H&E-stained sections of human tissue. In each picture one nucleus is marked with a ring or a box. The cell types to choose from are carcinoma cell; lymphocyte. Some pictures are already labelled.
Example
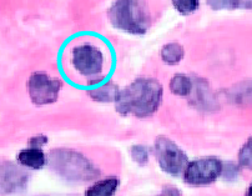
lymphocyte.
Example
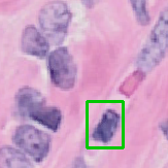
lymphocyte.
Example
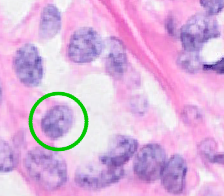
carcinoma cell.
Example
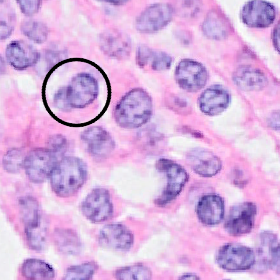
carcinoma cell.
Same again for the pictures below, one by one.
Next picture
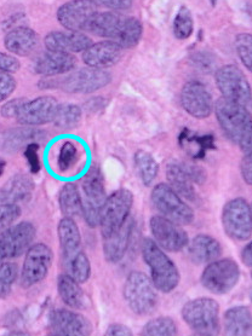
lymphocyte.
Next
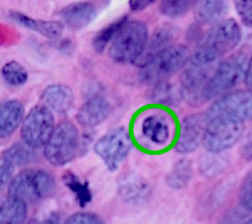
lymphocyte.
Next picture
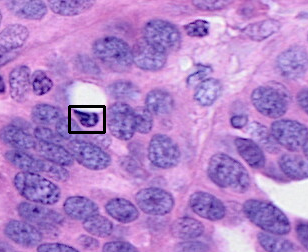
lymphocyte.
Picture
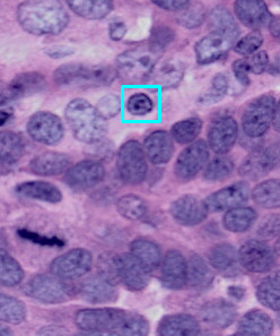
lymphocyte.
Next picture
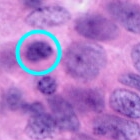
lymphocyte.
